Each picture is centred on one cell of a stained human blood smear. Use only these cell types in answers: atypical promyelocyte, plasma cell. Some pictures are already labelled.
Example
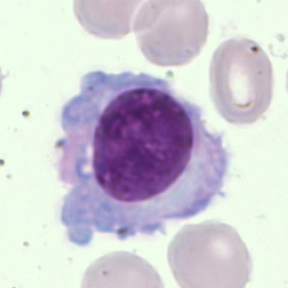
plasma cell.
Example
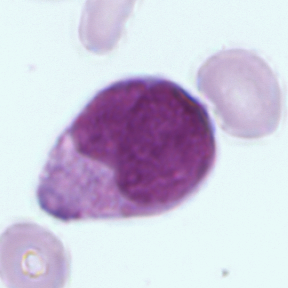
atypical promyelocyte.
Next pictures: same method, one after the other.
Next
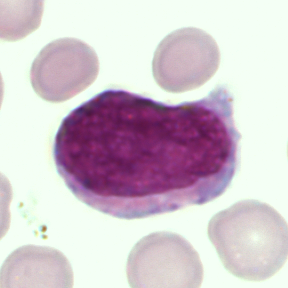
atypical promyelocyte.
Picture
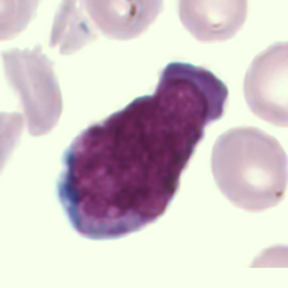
atypical promyelocyte.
